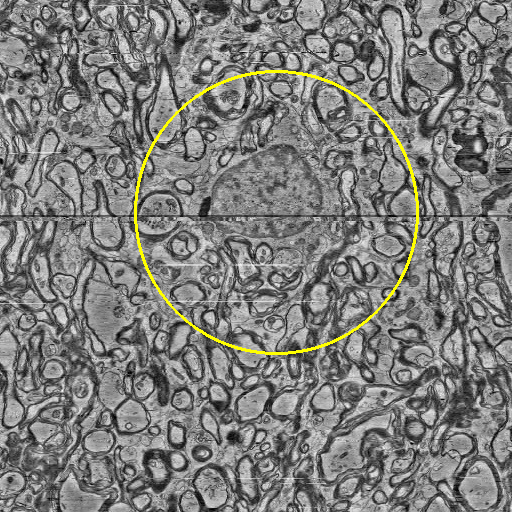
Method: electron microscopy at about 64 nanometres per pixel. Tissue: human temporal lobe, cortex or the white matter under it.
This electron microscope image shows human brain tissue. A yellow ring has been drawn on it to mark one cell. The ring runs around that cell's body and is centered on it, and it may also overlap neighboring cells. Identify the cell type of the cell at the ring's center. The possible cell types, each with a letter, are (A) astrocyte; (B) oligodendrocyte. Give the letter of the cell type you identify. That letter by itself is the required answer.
B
